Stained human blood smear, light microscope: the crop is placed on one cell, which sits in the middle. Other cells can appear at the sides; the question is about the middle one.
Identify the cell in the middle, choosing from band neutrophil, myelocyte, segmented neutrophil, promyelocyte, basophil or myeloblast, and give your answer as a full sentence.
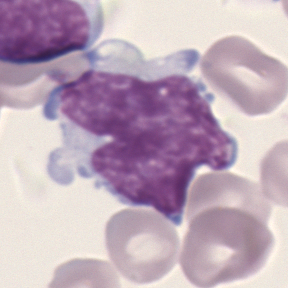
The cell in the middle of the field of view is a myeloblast.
